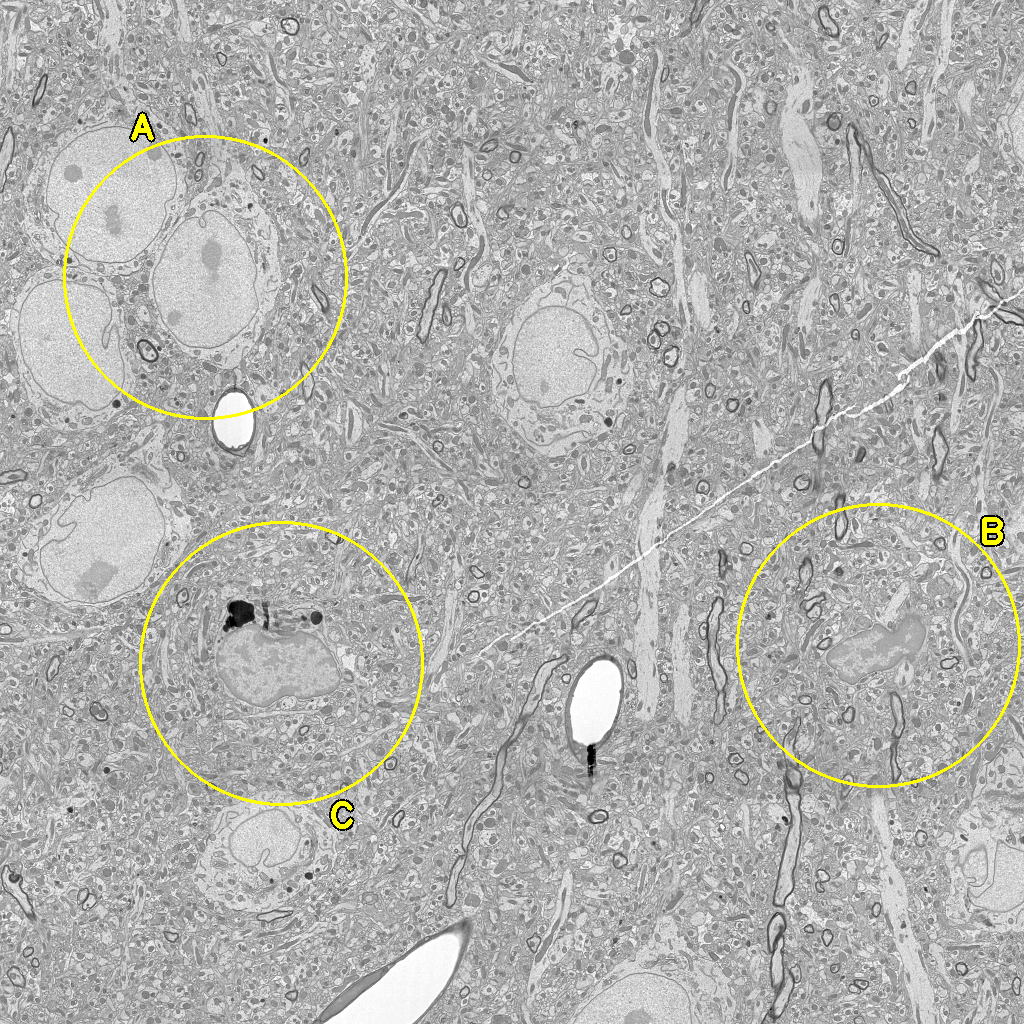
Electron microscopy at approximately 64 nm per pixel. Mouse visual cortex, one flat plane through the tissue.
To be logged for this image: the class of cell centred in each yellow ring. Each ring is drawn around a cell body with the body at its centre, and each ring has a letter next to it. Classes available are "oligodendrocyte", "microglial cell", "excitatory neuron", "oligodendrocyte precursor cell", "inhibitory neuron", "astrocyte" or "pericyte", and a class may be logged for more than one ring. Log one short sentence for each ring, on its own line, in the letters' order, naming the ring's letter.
The class recorded for ring A is an excitatory neuron.
The class recorded for ring B is a microglial cell.
The class recorded for ring C is a microglial cell.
